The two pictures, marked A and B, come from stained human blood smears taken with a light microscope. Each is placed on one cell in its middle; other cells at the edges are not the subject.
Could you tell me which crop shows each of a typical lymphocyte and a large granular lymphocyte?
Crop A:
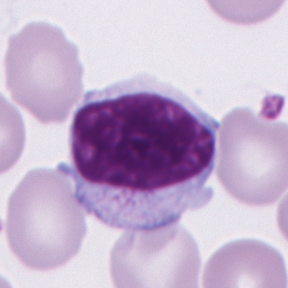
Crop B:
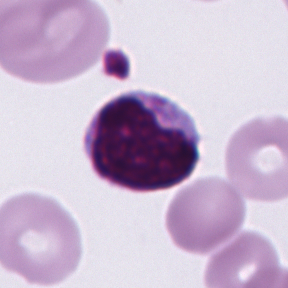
A: large granular lymphocyte
B: typical lymphocyte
